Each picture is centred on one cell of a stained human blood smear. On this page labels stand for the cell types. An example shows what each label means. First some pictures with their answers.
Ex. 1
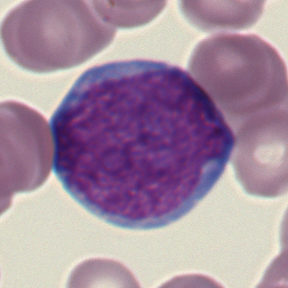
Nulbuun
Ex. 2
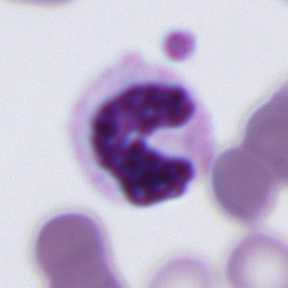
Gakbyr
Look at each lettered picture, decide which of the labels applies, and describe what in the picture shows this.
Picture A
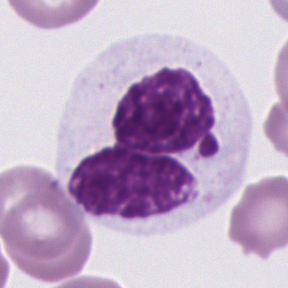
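Answer: Gakbyr. The nucleus is made of two large lobes lying one above the other.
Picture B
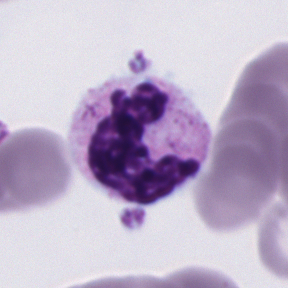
Answer: Gakbyr. The cytoplasm is pale pink.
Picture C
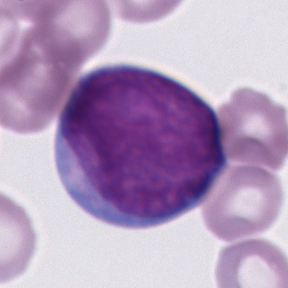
Answer: Nulbuun. The cytoplasm forms a narrow crescent mainly along the lower-left edge.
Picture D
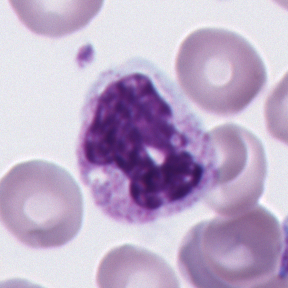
Answer: Gakbyr. A small clear gap lies between the nuclear lobes near the centre of the cell.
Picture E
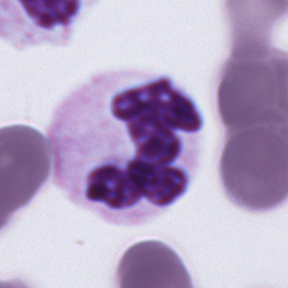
Answer: Gakbyr. The cytoplasm is plentiful and pale pink.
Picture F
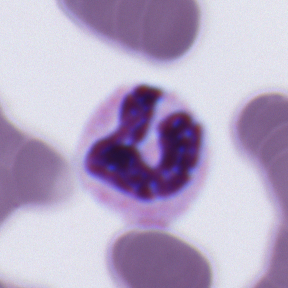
Answer: Gakbyr. The nucleus is bent into a U shape that opens upward.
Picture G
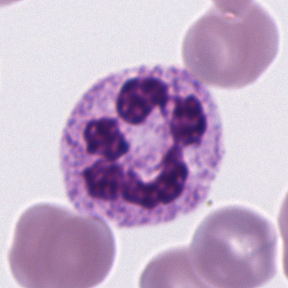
Answer: Gakbyr. The nucleus is divided into several separate lobes.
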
